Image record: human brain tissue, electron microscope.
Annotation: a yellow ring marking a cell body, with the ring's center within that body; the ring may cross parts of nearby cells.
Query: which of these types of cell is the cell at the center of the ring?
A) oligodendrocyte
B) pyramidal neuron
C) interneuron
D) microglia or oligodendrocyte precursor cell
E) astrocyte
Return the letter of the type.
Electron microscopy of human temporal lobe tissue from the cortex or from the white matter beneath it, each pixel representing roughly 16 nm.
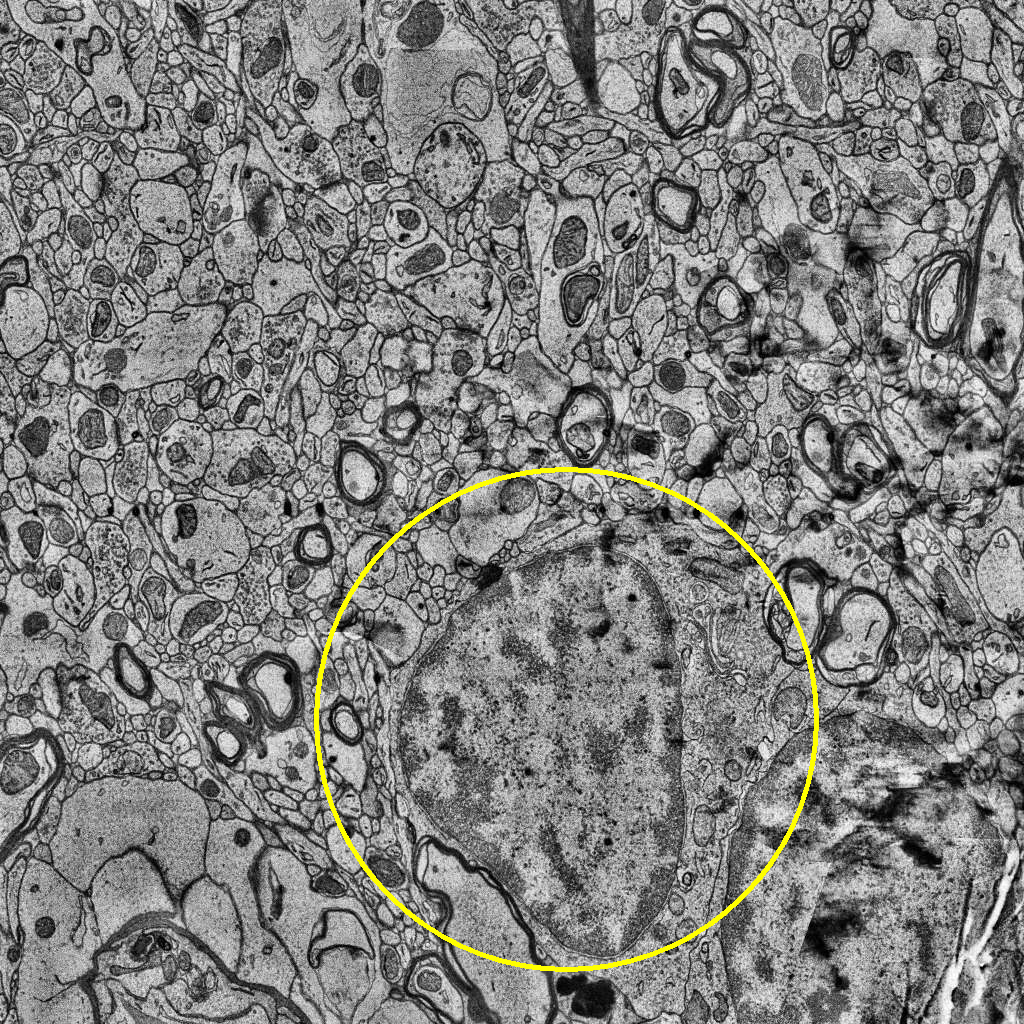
A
